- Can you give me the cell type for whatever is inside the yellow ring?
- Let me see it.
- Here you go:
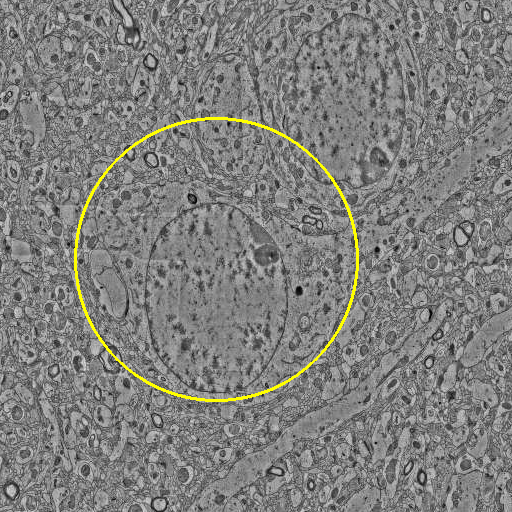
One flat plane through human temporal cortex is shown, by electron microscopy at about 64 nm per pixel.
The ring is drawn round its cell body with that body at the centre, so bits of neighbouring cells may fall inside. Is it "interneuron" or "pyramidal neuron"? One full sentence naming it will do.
The cell body in the middle of the ring in this picture belongs to a pyramidal neuron.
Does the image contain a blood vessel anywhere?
No, none appears.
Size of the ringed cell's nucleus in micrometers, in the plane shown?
The nucleus comes to roughly 12 by 9 micrometres in this plane.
